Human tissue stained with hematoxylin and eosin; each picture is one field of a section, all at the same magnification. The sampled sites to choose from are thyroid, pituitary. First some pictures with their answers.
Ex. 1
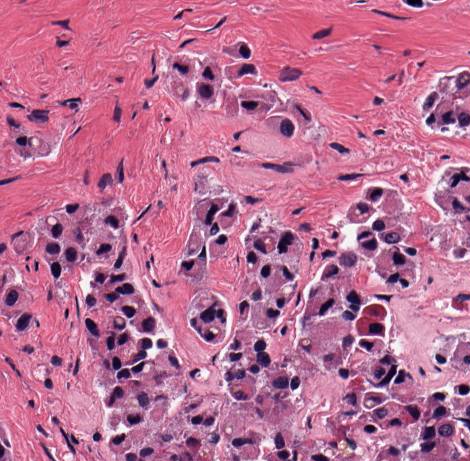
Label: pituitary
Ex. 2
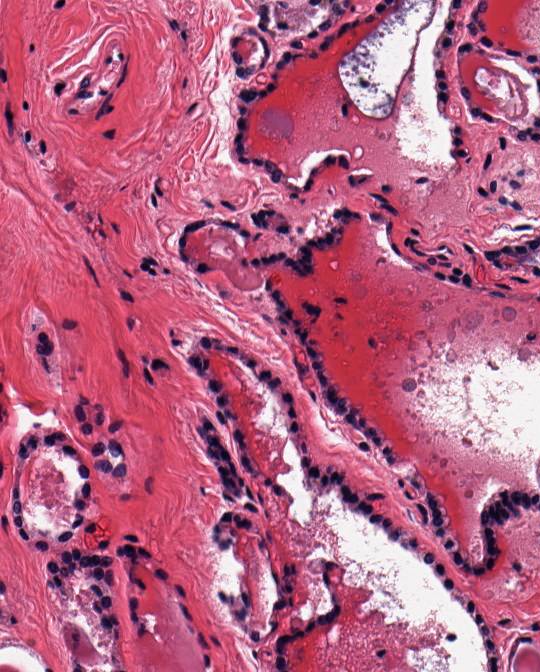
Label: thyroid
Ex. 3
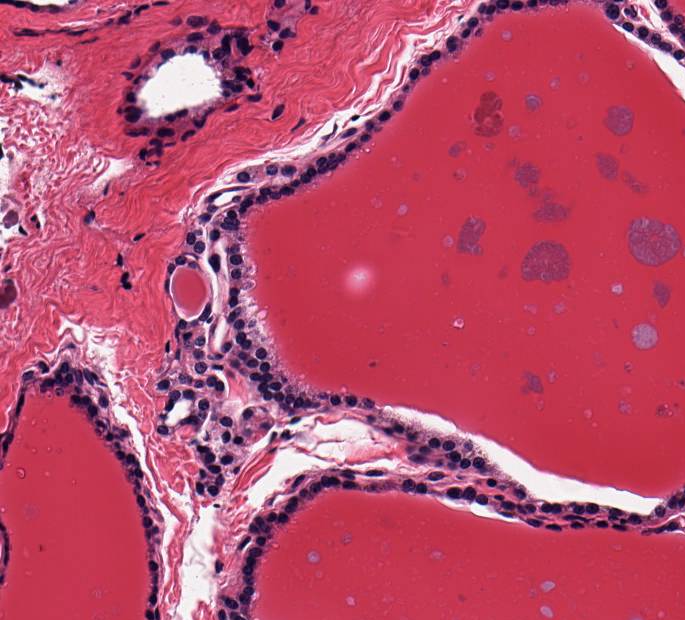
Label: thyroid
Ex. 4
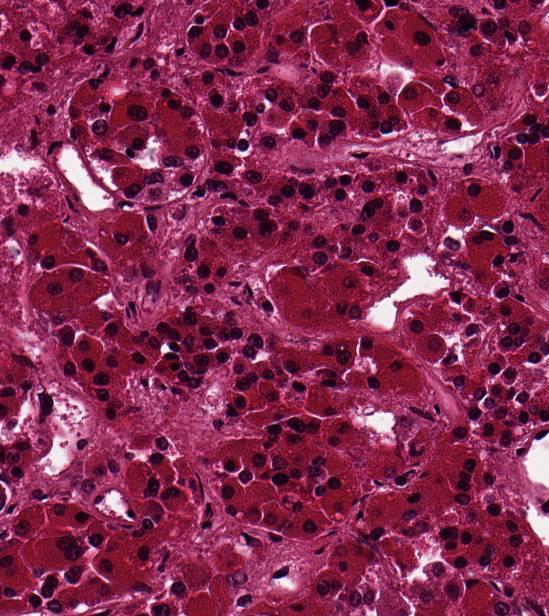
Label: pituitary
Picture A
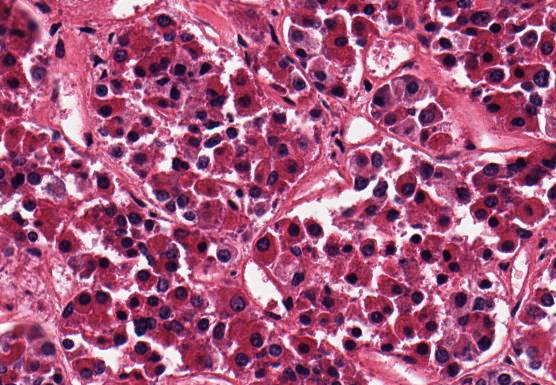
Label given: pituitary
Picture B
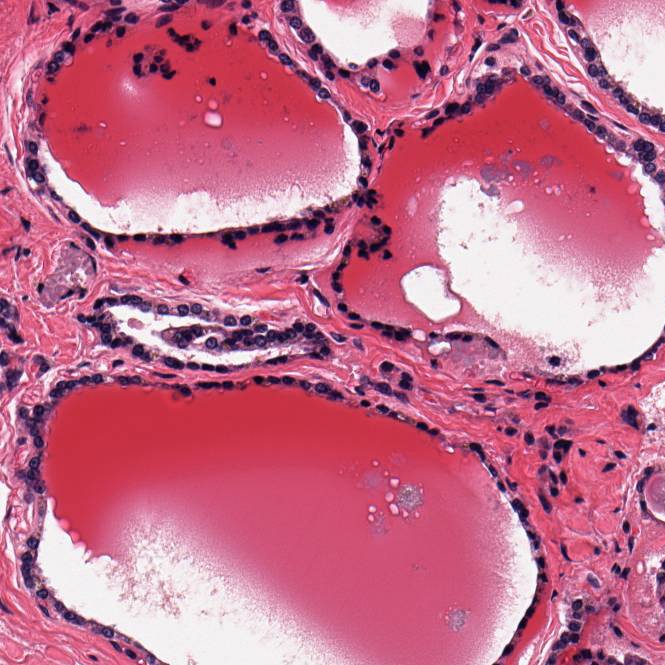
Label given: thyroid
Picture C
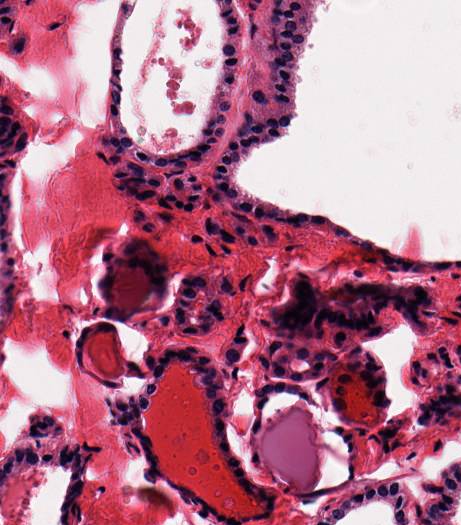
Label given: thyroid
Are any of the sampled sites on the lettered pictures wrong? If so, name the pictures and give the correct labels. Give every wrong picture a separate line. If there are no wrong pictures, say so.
Every label is right.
